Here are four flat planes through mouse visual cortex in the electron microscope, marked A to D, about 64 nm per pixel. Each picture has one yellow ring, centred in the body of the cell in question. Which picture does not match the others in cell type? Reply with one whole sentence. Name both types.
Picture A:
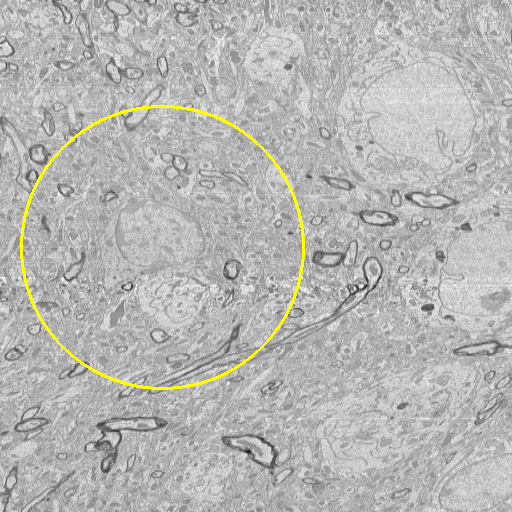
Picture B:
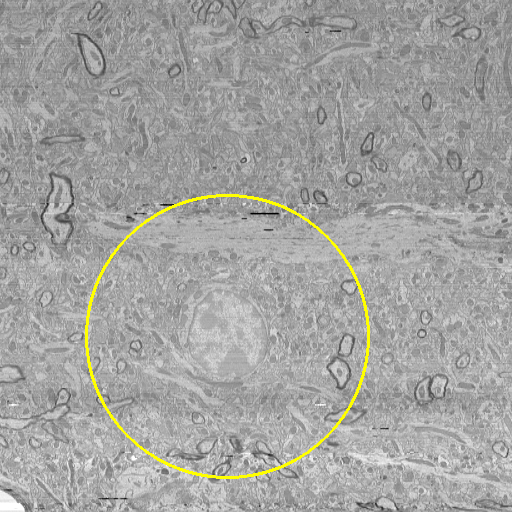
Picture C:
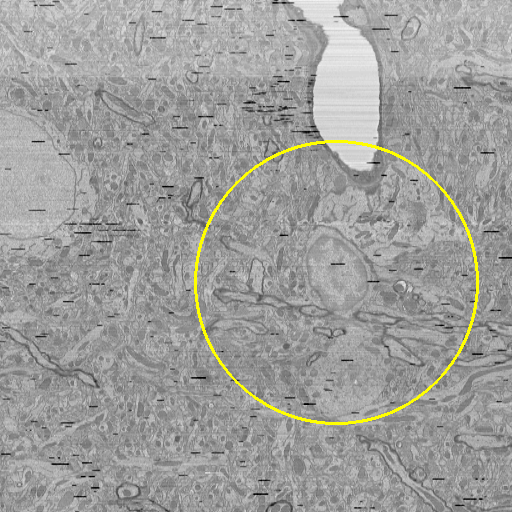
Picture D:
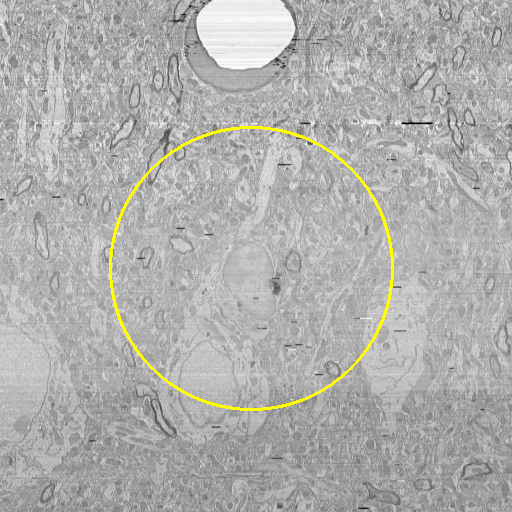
All pictures except D show oligodendrocytes; picture D shows a microglial cell.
